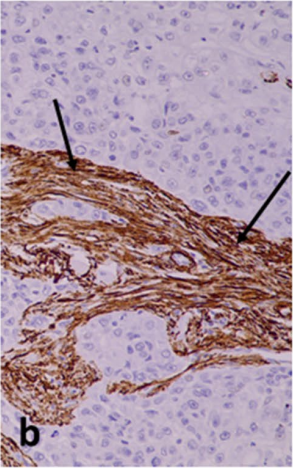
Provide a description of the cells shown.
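The tumor cells are large and polygonal, with pale round to oval nuclei, visible nucleoli and ample pale cytoplasm, and show only the blue counterstain. Between the tumor sheets runs a strip of stroma made of elongated spindle-shaped cells and fibres, stained intensely brown throughout. The brown band branches and encloses small round spaces, and thinner brown strands extend into the lower part of the field between tumor cell groups. The boundary between brown stroma and unstained tumor is sharp.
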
